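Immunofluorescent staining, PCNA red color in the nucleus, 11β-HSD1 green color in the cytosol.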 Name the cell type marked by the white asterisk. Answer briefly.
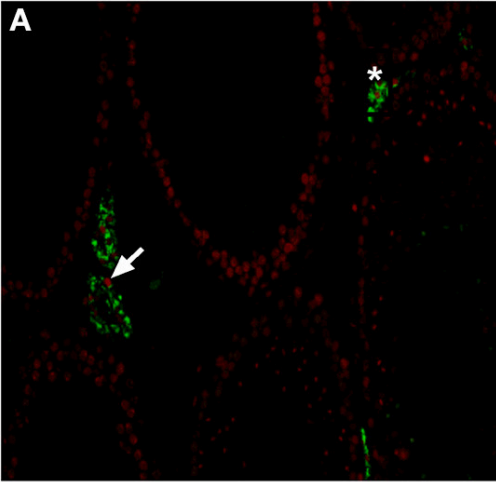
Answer: Leydig cells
